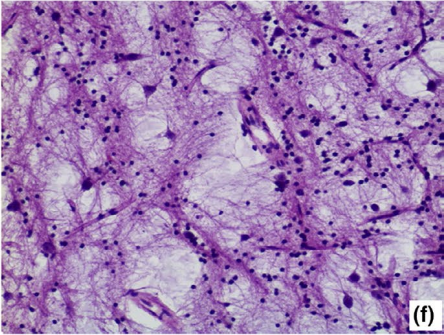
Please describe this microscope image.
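This is a tumor with many small round oligodendrocyte-like cells with dark round nuclei, lined up in strands within a pale, loose, purplish fibrillary matrix with open spaces. Among them a few larger neurons with angular cell bodies and processes seem to float in the loose matrix.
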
